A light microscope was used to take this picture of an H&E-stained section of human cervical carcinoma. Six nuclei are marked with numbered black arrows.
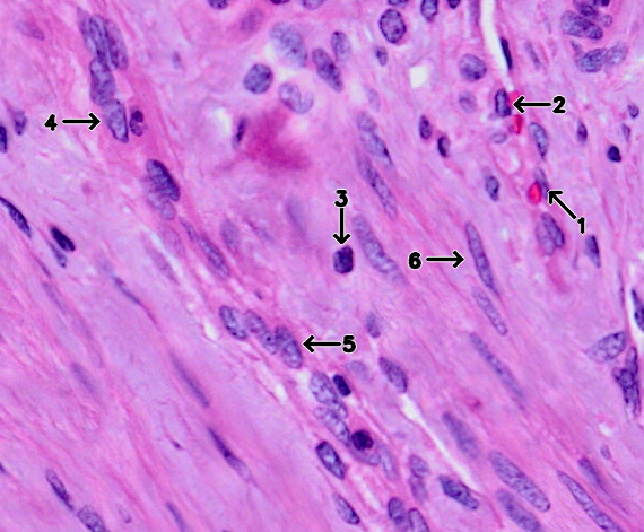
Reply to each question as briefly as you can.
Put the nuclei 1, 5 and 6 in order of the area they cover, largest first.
6, 5, 1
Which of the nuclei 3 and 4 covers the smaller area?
3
